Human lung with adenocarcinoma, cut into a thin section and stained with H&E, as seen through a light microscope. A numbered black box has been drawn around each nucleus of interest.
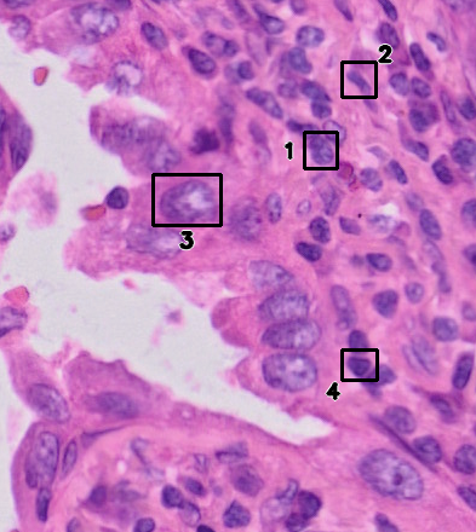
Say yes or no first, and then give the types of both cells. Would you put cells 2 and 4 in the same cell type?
Yes, the cell labelled 2 and the cell labelled 4 are both lymphocytes.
